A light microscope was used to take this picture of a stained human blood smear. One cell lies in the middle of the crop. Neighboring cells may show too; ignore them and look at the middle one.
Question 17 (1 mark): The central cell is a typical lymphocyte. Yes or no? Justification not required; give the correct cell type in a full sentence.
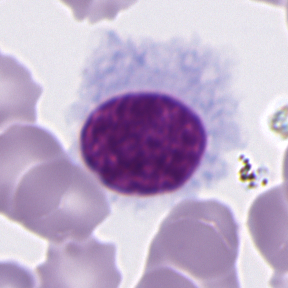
No, the centred cell is a hairy cell instead of a typical lymphocyte.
